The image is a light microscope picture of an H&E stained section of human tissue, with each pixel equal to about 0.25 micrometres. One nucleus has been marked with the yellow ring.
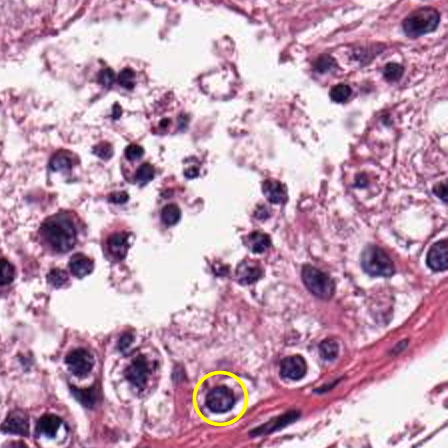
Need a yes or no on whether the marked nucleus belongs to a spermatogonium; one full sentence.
Yes, the marked nucleus is held by a spermatogonium.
